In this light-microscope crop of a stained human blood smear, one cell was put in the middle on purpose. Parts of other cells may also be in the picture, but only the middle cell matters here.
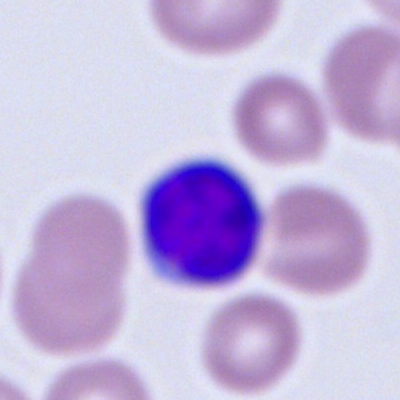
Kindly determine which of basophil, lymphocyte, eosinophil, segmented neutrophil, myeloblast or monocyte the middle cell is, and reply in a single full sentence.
The cell occupying the middle of the crop is a lymphocyte.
